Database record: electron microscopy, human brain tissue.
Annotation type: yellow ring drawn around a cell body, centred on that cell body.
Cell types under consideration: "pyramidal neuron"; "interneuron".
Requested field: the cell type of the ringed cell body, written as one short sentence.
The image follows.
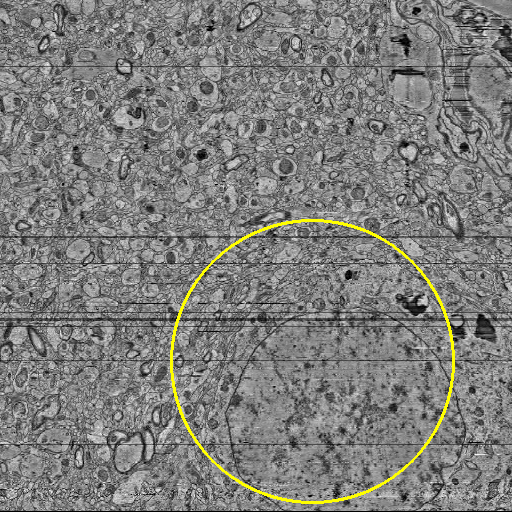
The ringed cell body represents a pyramidal neuron.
